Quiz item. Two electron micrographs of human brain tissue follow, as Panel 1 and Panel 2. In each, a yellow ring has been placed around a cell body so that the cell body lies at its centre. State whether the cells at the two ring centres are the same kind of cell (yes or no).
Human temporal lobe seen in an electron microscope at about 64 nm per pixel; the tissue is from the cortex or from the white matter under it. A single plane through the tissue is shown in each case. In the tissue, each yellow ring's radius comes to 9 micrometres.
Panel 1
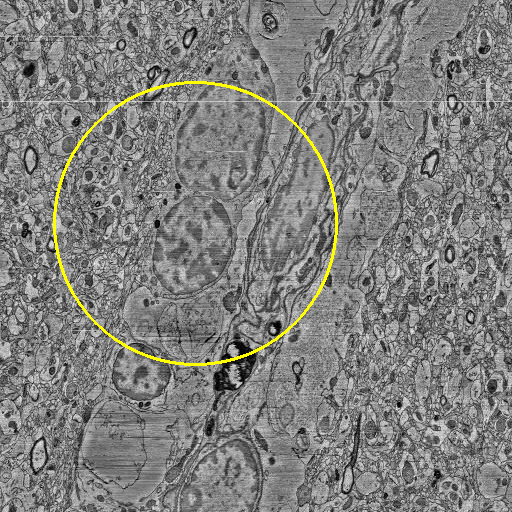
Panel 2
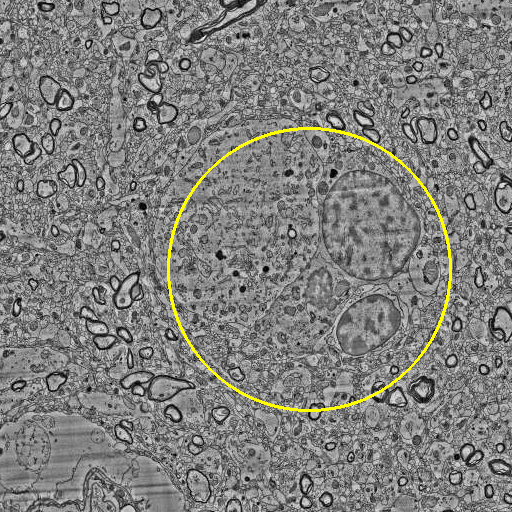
yes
